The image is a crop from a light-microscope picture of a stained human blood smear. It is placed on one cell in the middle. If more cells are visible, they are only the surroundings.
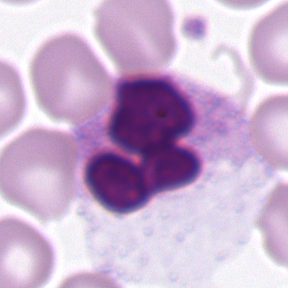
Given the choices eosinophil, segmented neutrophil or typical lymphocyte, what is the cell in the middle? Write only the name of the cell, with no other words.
segmented neutrophil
